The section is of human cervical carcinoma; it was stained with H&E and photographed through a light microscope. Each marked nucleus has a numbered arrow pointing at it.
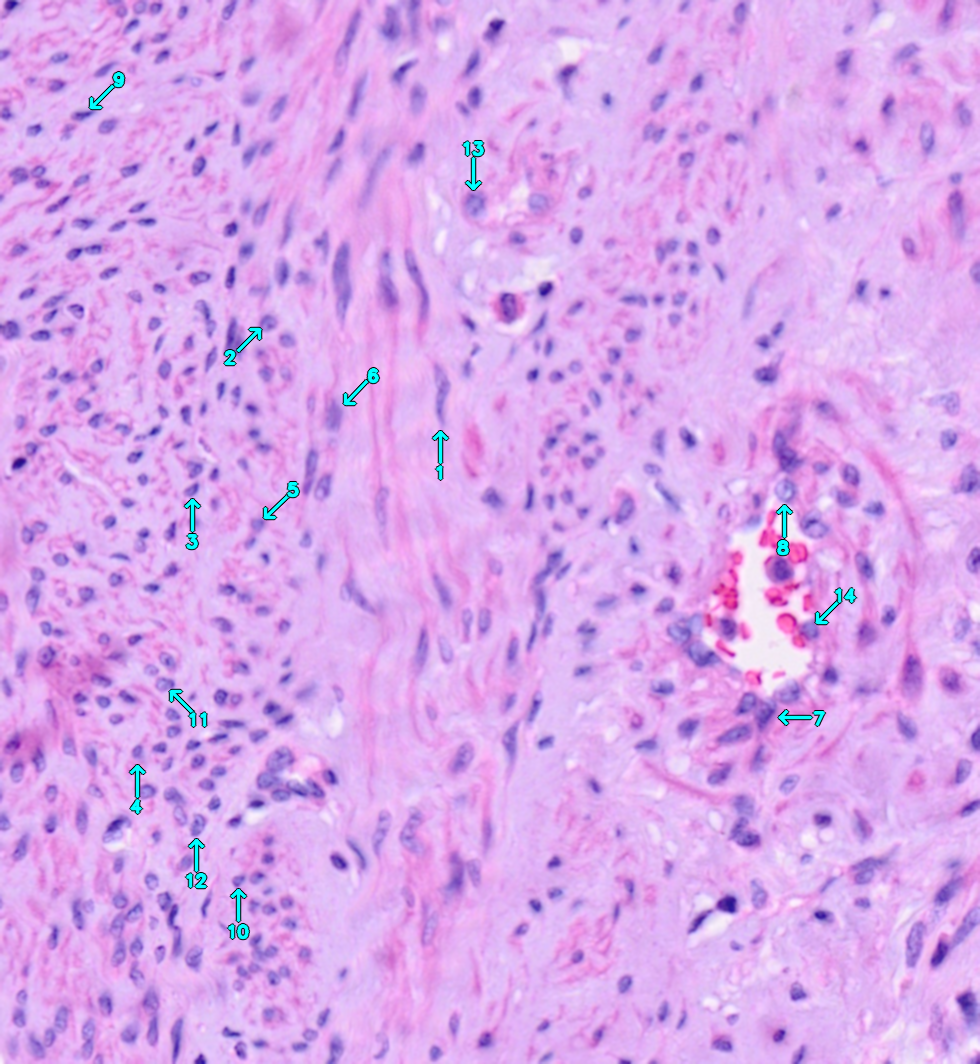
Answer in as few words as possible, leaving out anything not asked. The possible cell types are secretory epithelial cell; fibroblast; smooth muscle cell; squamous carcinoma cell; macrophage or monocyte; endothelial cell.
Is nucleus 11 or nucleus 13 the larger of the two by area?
13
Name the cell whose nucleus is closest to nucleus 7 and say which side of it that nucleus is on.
an endothelial cell; above and to the left of nucleus 7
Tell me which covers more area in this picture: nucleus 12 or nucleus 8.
8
